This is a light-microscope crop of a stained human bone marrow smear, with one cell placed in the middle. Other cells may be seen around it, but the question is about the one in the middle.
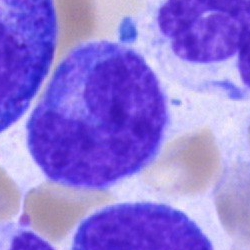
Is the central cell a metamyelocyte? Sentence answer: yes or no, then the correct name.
No, the middle of this crop is occupied by a monocyte rather than a metamyelocyte.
